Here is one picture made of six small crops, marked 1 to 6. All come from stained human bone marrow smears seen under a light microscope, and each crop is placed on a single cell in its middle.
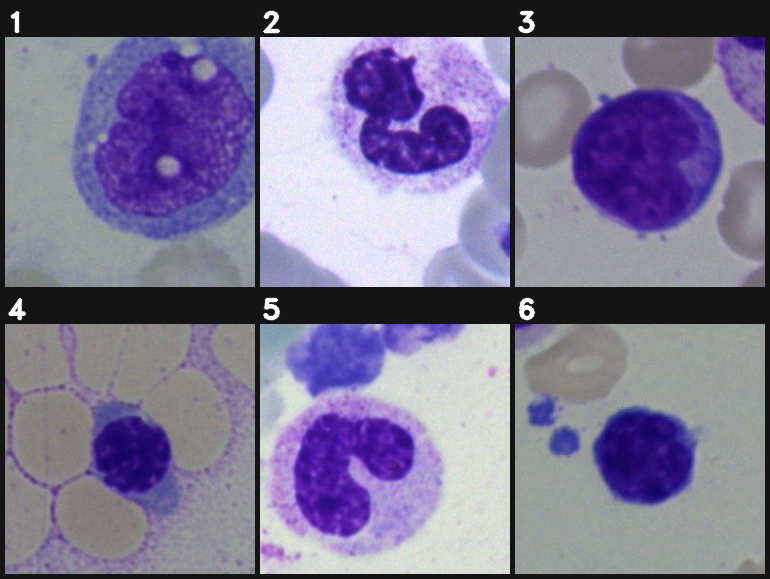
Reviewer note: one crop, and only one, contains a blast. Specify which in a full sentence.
Crop 3, and no other, shows a blast.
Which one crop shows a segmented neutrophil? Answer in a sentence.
Crop 2, and no other, is the one that shows a segmented neutrophil.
